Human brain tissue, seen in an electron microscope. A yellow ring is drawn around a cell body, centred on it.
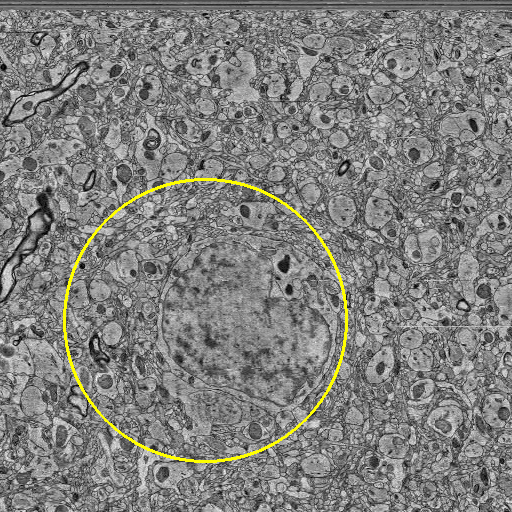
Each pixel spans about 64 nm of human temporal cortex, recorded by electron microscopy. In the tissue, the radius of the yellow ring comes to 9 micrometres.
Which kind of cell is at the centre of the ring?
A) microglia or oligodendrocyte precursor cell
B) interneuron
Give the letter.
B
